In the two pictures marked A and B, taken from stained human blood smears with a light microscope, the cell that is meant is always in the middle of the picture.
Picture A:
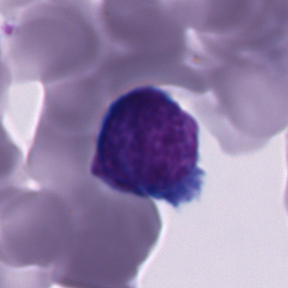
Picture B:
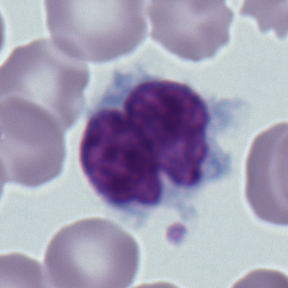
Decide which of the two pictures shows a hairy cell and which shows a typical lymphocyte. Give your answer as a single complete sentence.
Picture B shows a hairy cell, while picture A shows a typical lymphocyte.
